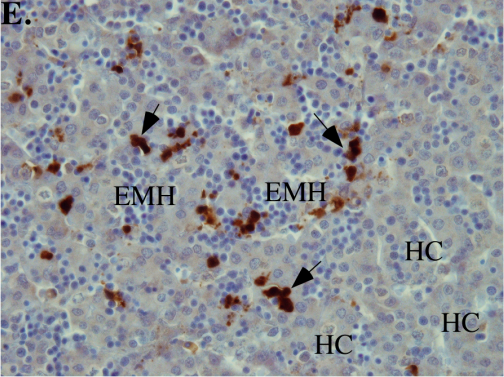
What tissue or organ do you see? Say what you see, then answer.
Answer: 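Liver. Large polygonal cells with pale cytoplasm and round central nuclei form cords. Small round dark-nucleated cells crowd the spaces between the cords.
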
